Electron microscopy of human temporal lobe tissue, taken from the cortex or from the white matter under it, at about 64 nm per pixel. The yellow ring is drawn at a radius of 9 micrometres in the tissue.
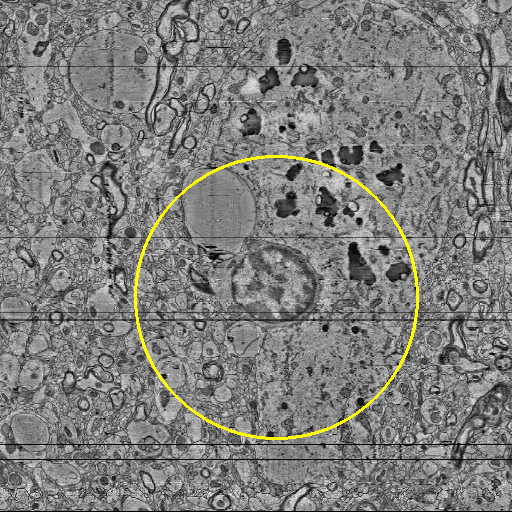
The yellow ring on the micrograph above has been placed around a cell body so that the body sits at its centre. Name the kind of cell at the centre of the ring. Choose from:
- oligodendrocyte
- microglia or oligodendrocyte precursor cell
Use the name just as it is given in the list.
oligodendrocyte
